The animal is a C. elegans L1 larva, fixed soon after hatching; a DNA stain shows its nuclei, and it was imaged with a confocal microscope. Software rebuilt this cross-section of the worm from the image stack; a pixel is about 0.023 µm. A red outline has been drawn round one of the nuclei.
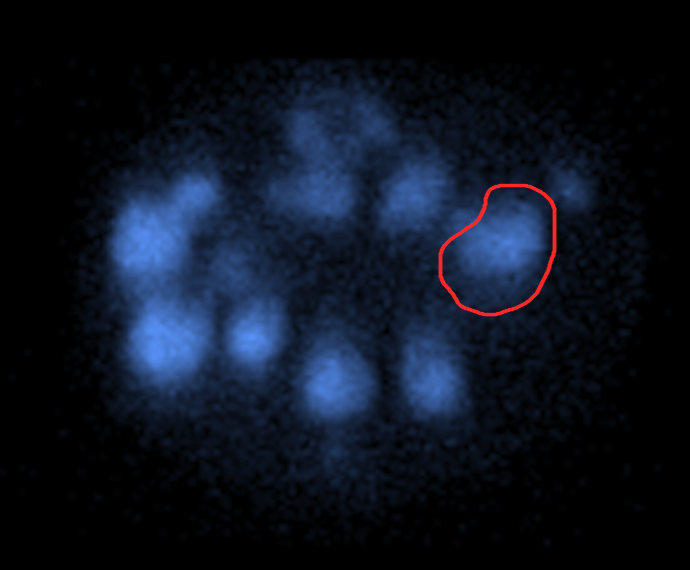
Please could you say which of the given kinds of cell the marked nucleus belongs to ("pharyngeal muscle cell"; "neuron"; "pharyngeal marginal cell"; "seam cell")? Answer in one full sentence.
The cell with the marked nucleus is a pharyngeal muscle cell.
